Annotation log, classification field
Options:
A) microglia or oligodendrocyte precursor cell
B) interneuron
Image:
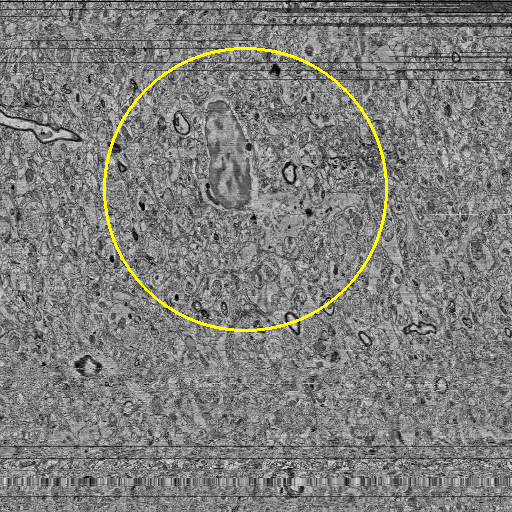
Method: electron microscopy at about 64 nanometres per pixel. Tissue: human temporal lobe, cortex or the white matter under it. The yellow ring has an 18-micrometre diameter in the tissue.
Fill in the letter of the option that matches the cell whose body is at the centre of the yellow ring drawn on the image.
A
